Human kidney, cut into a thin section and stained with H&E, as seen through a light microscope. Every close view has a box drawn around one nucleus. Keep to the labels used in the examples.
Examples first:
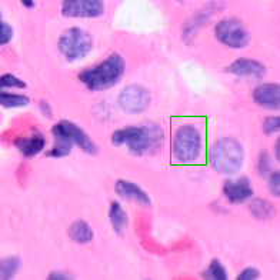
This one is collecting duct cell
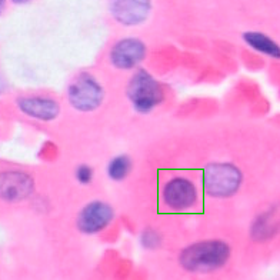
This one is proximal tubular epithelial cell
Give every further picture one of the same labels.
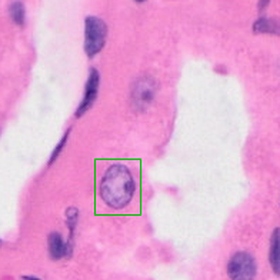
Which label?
proximal tubular epithelial cell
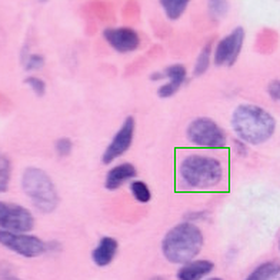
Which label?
collecting duct cell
